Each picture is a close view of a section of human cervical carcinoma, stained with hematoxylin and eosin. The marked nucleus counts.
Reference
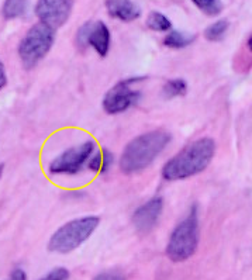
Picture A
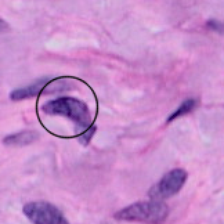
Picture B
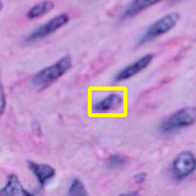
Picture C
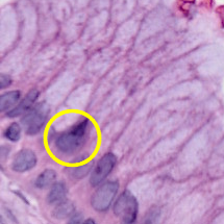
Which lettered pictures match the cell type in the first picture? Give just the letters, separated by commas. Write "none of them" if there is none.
A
